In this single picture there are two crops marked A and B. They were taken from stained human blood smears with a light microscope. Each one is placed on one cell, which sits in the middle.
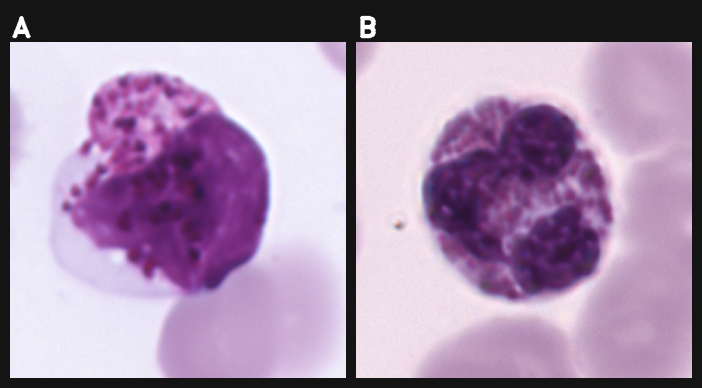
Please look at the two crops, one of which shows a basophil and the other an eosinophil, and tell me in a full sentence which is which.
The central cell of crop A is a basophil, and that of crop B is an eosinophil.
